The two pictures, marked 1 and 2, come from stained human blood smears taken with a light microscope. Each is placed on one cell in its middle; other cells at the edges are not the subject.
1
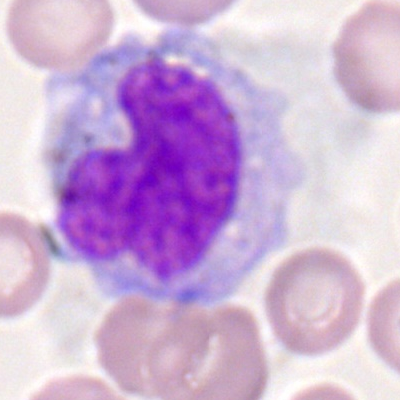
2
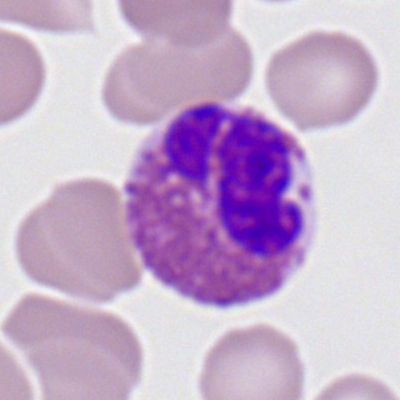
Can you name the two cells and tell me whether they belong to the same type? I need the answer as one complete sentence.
No, crop 1 gives us a monocyte and crop 2 gives us an eosinophil.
